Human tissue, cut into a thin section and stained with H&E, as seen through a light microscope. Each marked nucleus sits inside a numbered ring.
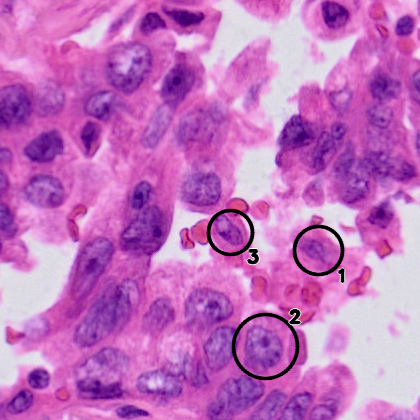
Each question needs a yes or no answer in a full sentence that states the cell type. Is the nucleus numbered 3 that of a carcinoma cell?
No, cell 3 is not a carcinoma cell at all but a macrophage or monocyte.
